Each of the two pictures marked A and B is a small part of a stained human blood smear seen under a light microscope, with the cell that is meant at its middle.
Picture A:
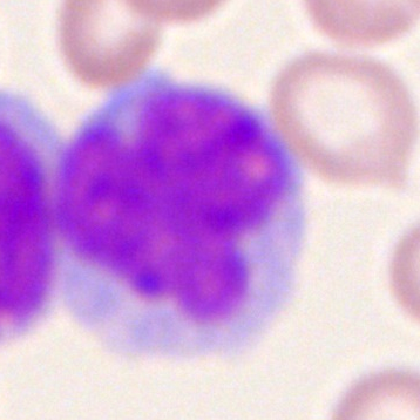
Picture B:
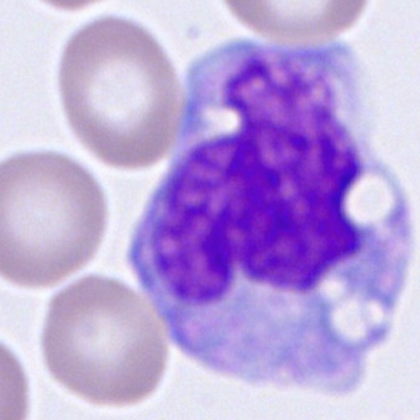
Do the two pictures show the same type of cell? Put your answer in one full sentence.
Yes, the two pictures both show monocytes.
